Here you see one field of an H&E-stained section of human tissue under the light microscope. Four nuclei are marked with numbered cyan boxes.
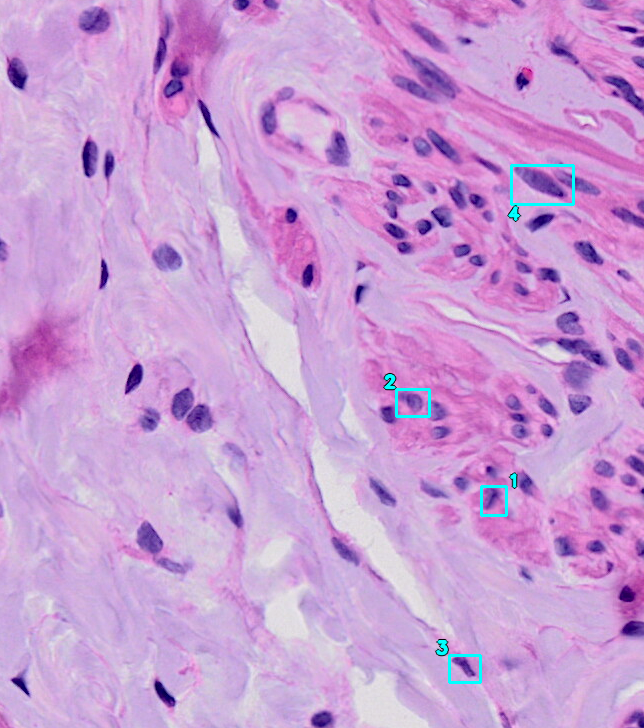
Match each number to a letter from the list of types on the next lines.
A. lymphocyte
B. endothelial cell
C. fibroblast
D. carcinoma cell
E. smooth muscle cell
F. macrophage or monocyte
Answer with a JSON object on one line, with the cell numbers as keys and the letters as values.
{"1": "E", "2": "E", "3": "C", "4": "E"}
